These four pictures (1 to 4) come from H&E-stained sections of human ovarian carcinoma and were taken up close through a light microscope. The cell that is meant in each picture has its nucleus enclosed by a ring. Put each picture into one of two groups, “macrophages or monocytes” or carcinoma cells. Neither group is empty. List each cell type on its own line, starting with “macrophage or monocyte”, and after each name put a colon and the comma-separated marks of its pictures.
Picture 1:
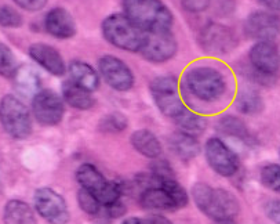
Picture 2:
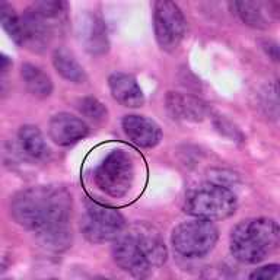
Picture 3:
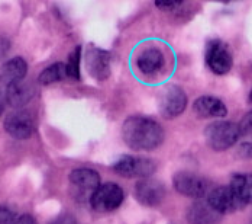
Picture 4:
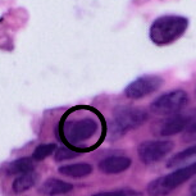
macrophage or monocyte: 3
carcinoma cell: 1, 2, 4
